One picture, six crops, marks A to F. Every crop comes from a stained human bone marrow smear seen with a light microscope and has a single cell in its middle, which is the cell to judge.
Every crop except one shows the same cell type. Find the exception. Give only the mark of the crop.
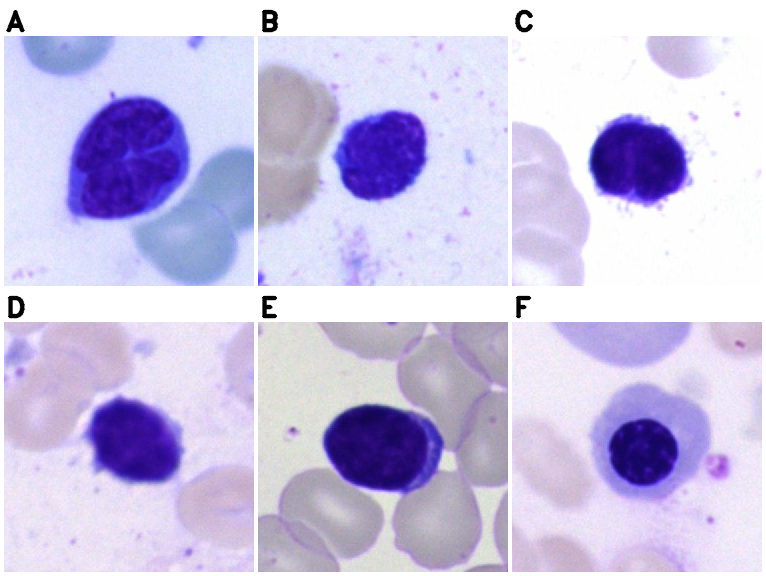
F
